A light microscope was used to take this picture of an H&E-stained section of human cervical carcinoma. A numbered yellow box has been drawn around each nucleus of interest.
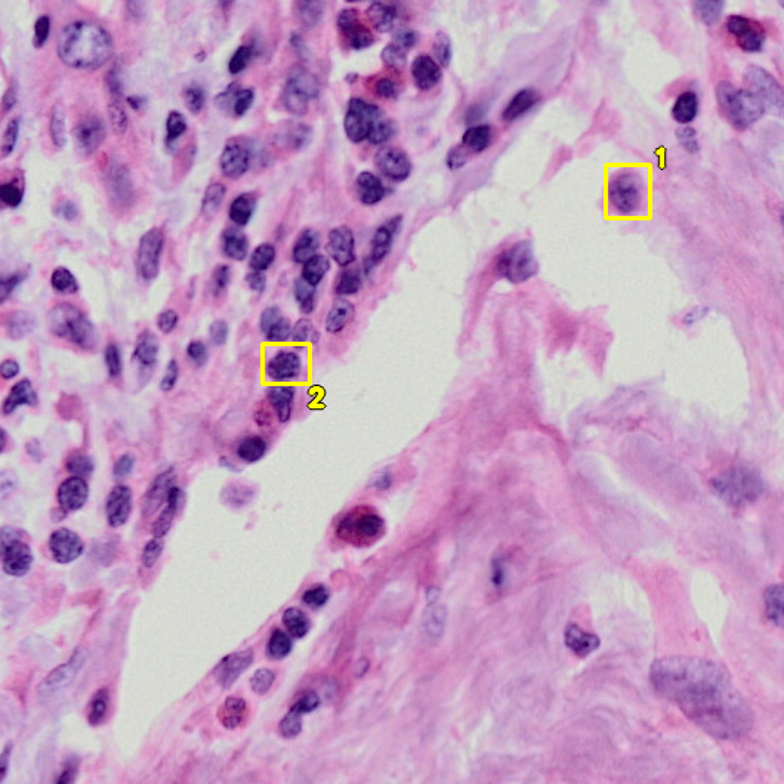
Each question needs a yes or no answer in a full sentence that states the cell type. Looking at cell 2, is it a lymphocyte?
Yes, cell number 2 is identified here as a lymphocyte.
